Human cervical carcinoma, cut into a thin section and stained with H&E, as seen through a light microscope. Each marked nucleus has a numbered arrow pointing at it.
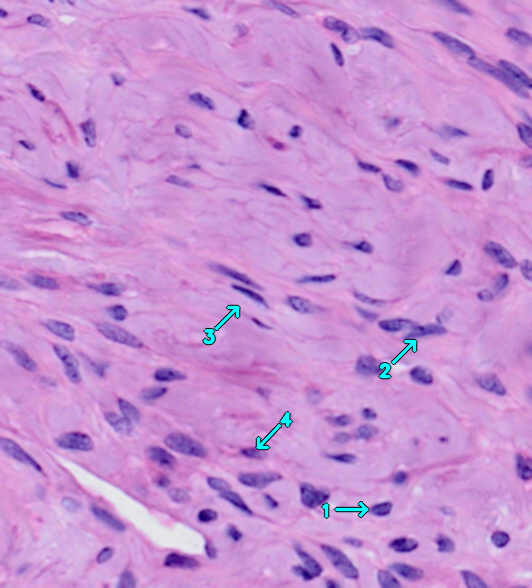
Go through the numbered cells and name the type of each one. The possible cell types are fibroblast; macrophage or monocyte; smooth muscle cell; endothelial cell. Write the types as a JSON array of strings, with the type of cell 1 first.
["fibroblast", "fibroblast", "fibroblast", "smooth muscle cell"]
